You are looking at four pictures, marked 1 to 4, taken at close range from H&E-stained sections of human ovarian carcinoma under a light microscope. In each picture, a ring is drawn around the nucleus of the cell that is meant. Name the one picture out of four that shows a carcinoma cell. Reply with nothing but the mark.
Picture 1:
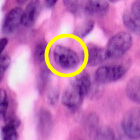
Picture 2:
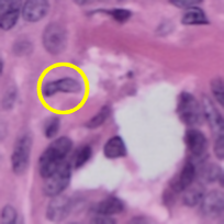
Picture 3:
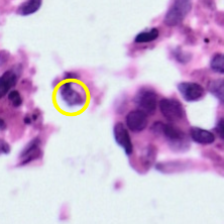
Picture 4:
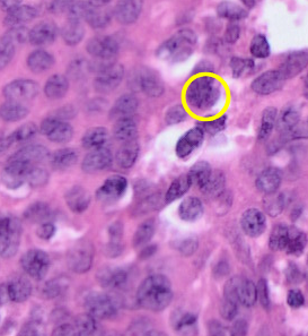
4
